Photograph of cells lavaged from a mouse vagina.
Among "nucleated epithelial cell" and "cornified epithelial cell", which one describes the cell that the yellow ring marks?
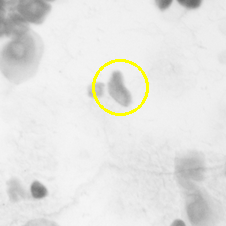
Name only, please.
cornified epithelial cell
